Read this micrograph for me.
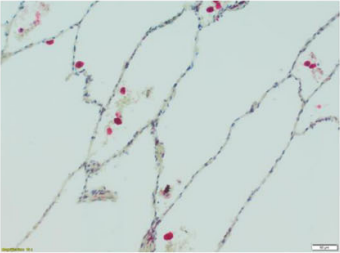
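The alveolar walls are thin, delicate septa lined by flattened cells whose small blue nuclei sit along the walls. Within the wide, open air spaces lie a few large rounded cells stained a deep red. Some of them float free in the alveolar lumen, others rest against the septa. They are much larger than the nuclei of the wall cells and stand out sharply against the pale background.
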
